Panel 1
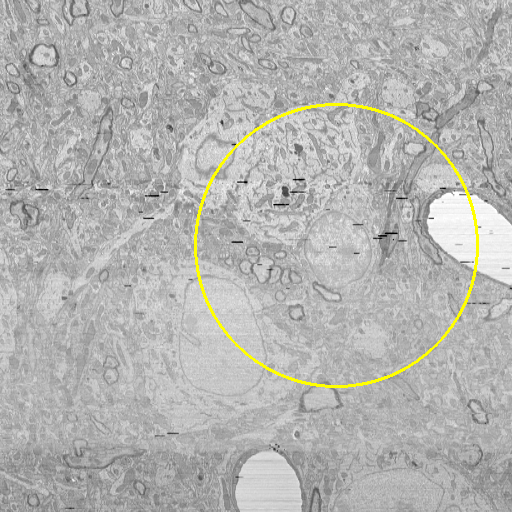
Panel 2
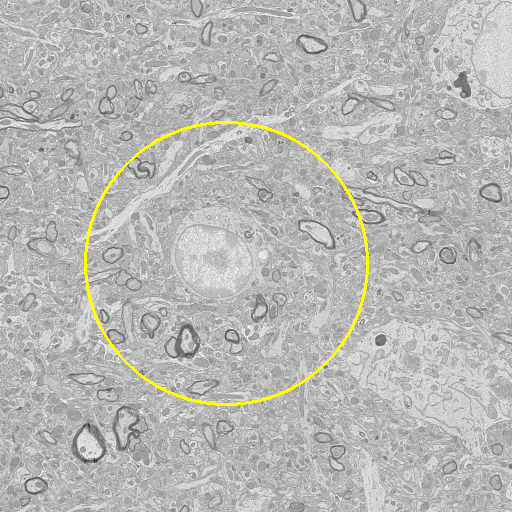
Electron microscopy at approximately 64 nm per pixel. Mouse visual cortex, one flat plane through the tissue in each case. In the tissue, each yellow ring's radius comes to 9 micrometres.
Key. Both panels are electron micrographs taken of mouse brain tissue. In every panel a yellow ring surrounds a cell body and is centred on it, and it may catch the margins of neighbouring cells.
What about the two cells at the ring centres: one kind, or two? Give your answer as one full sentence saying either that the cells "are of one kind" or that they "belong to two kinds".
Across Panels 1 and 2, the two cells at the ring centres are of one kind.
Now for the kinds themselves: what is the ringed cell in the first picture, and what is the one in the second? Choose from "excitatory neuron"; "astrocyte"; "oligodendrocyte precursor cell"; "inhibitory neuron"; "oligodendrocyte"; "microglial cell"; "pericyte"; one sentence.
Each one of the two ringed cells is an oligodendrocyte.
